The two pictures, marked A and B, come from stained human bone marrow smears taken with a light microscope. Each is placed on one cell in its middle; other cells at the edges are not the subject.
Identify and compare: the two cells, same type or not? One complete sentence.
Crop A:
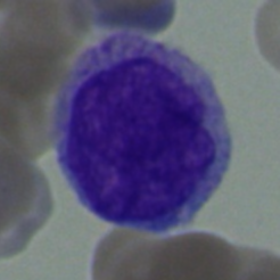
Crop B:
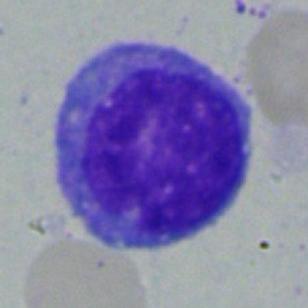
Yes, both crops show monocytes, and that holds for each one.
